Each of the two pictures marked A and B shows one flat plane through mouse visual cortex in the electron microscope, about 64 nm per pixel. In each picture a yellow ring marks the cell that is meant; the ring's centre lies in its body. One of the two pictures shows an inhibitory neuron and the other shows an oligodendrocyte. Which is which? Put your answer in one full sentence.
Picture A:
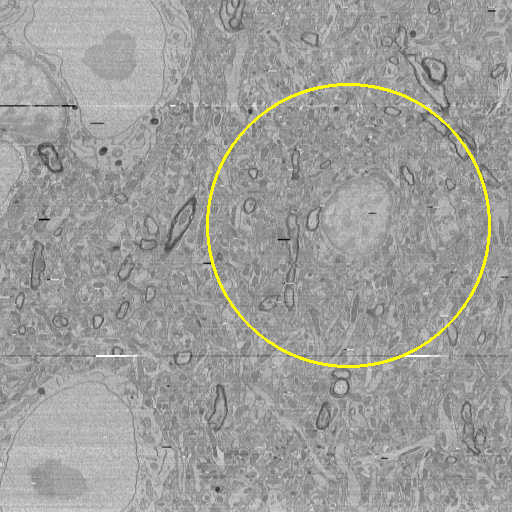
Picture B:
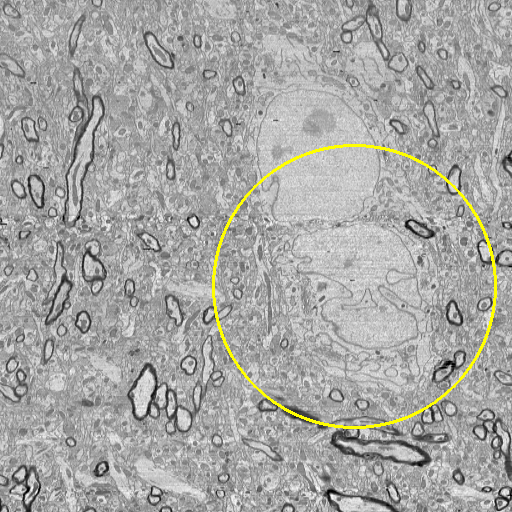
Picture A is of an oligodendrocyte, and picture B is of an inhibitory neuron.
